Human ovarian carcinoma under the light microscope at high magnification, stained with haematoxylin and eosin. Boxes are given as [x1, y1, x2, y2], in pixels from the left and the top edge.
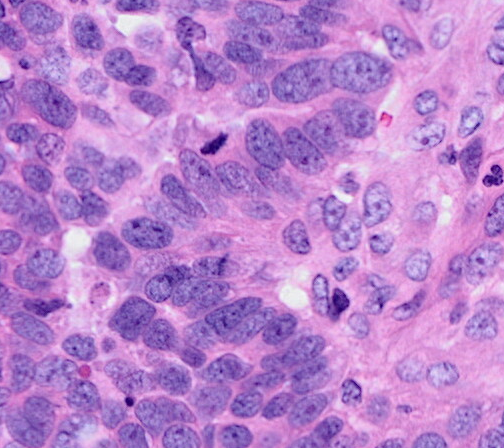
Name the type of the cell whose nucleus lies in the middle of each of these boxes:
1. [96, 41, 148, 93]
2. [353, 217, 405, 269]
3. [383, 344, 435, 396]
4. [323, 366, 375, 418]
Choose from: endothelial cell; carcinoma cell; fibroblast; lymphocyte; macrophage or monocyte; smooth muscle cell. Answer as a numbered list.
1. carcinoma cell
2. fibroblast
3. fibroblast
4. macrophage or monocyte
